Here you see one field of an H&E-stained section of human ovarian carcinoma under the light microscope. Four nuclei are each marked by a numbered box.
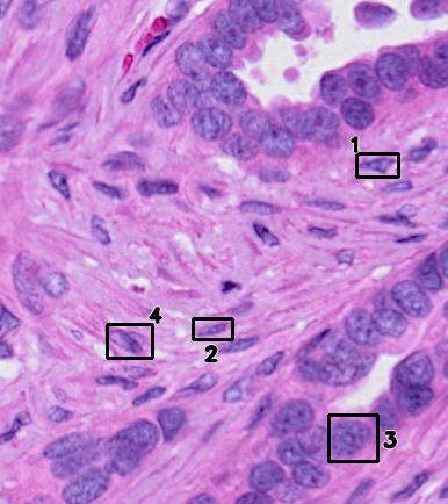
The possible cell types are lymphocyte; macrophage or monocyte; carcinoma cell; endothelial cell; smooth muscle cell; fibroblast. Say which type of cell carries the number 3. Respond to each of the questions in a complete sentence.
Identified as a carcinoma cell is the cell bearing the number 3.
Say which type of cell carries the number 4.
That cell with number 4 is a fibroblast.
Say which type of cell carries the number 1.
Here, the cell given the number 1 is a fibroblast.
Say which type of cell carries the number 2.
The marked nucleus 2 is that of a fibroblast.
